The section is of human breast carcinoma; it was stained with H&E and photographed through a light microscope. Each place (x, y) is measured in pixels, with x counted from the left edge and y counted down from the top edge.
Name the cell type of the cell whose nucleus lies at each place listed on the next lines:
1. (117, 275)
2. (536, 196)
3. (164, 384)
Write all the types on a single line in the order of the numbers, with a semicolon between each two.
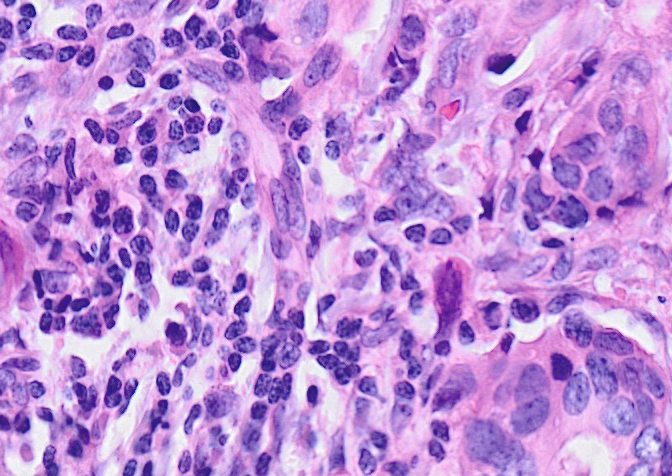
lymphocyte; carcinoma cell; lymphocyte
